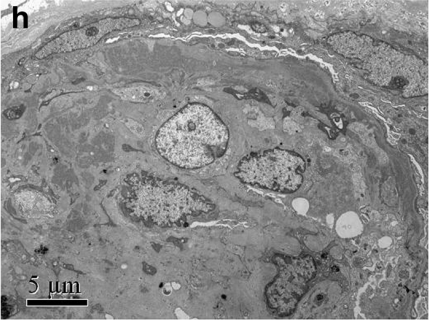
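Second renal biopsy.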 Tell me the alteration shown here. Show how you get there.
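Dark, amorphous material lies in broad areas around the nuclei. Patches are denser than the surrounding matrix. So: electron-dense deposits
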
